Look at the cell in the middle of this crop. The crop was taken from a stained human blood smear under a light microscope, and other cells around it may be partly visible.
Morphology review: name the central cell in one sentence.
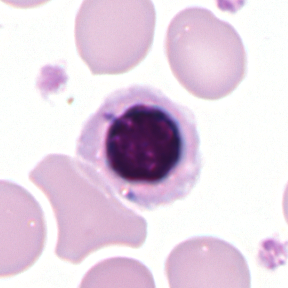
The centrally positioned cell in the crop represents an erythroblast.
